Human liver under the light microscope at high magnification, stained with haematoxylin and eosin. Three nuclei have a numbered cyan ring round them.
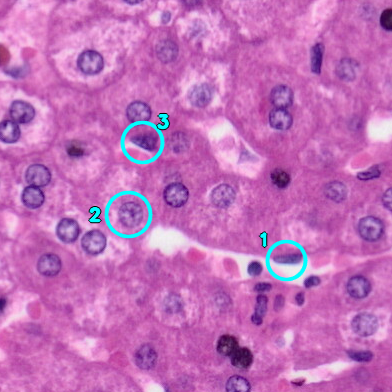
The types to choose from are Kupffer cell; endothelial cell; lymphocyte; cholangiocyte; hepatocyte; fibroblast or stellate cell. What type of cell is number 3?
endothelial cell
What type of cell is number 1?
endothelial cell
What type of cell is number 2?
hepatocyte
